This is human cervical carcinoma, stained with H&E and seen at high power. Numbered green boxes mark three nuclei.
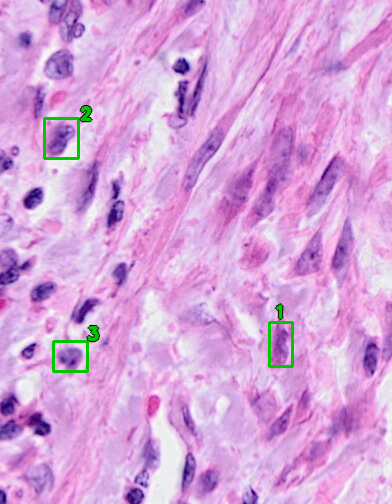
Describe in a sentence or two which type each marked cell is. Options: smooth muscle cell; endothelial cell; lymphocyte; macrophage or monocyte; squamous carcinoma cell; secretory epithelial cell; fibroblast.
Cell 1 is a fibroblast, cell 2 is a macrophage or monocyte and cell 3 is a macrophage or monocyte.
